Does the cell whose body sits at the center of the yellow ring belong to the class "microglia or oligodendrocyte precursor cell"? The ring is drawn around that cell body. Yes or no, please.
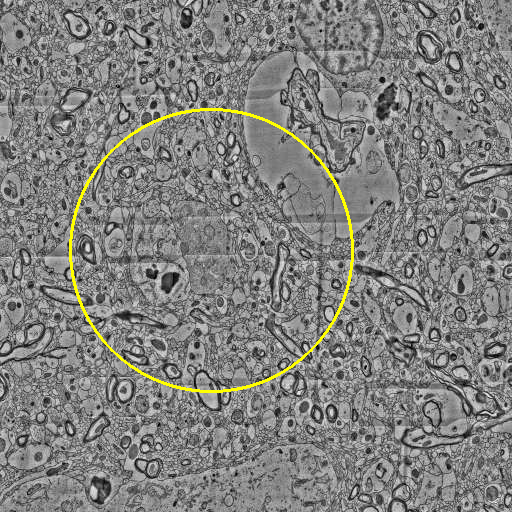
No, it belongs to another class.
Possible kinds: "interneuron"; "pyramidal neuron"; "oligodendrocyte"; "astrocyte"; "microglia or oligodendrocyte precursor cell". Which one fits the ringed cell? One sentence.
As it turns out, the cell at the ring centre is an oligodendrocyte.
